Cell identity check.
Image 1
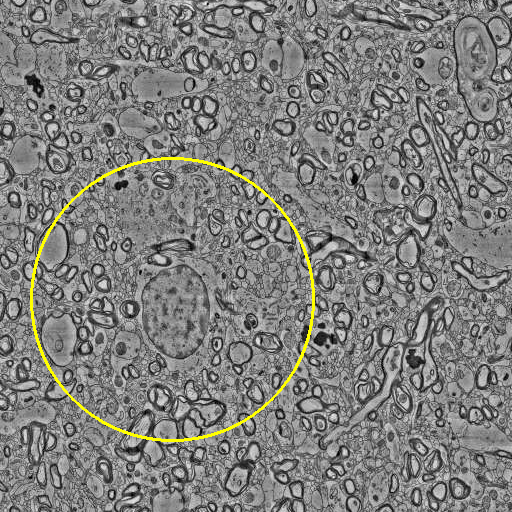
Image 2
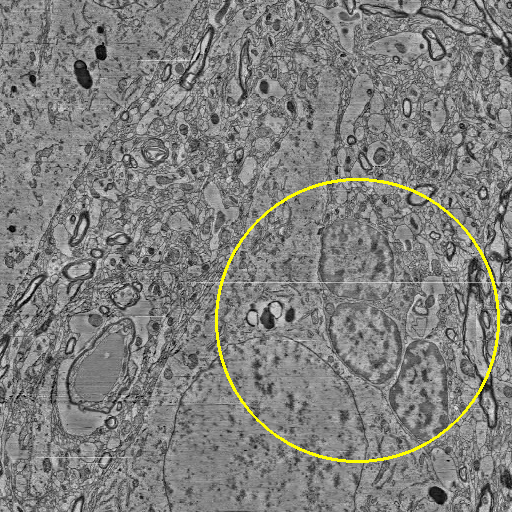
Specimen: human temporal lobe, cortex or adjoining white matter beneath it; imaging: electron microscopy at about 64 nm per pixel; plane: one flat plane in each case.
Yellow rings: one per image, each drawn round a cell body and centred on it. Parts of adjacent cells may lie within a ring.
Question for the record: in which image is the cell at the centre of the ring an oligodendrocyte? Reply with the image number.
2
